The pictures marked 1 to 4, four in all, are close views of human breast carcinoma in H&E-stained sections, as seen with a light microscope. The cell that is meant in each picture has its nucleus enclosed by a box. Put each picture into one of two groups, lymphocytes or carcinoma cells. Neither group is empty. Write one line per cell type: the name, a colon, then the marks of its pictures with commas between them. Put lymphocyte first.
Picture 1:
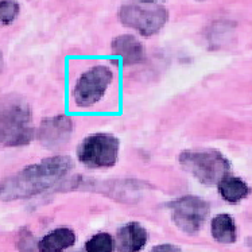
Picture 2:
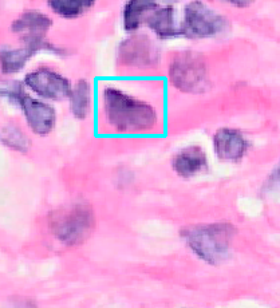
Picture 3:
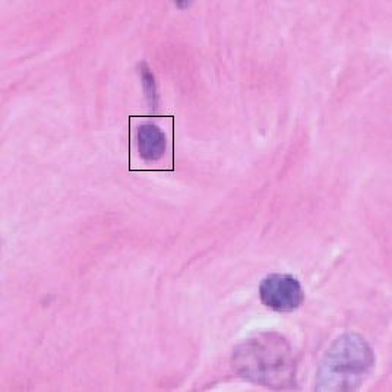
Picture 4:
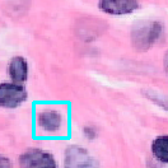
lymphocyte: 1, 3, 4
carcinoma cell: 2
